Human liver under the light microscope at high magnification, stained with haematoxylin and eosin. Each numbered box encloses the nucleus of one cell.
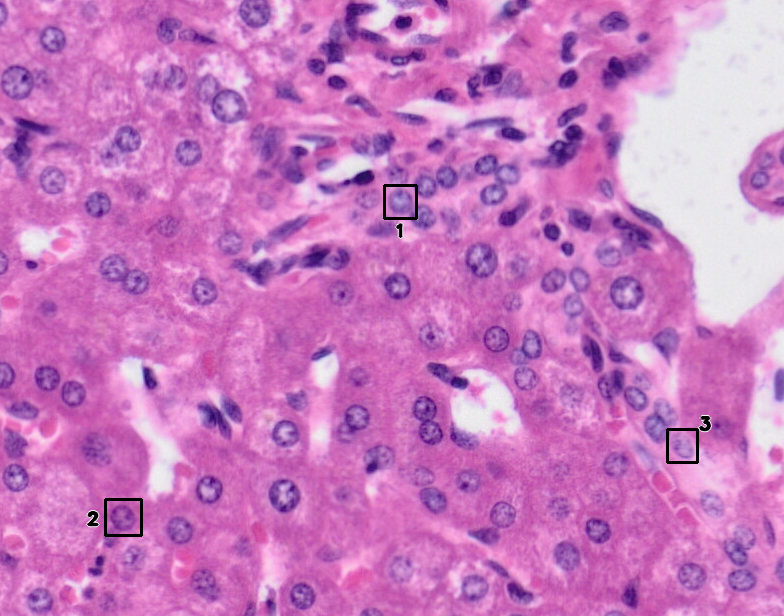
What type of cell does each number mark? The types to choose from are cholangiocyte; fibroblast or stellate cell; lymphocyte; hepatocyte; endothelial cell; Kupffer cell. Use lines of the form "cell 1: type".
cell 1: cholangiocyte
cell 2: hepatocyte
cell 3: cholangiocyte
